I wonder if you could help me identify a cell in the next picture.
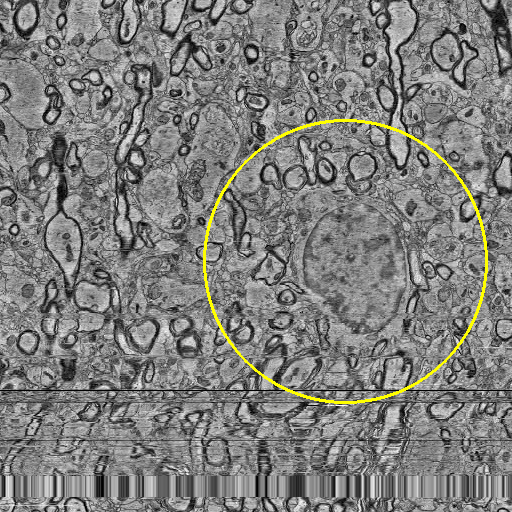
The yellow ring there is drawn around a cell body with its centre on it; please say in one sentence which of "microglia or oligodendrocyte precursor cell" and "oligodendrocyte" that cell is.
The yellow ring is centred on an oligodendrocyte.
